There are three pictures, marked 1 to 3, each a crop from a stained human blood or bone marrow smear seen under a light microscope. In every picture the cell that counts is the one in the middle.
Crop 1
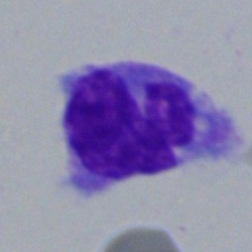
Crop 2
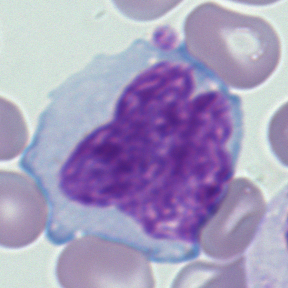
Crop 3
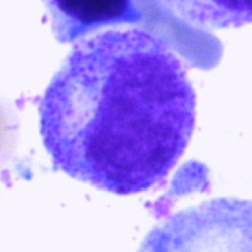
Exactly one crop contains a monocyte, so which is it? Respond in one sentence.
Crop 1 is the crop whose central cell is a monocyte.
